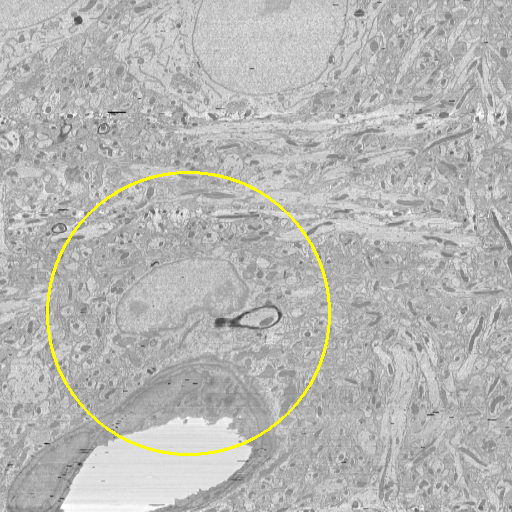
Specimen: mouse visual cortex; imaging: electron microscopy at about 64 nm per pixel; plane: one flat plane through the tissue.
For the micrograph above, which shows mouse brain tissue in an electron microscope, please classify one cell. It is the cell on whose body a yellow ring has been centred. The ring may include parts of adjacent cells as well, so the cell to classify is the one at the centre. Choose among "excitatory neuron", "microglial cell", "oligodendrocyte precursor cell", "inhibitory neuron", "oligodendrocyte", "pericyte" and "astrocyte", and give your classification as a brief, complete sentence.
I classify this cell as an astrocyte.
